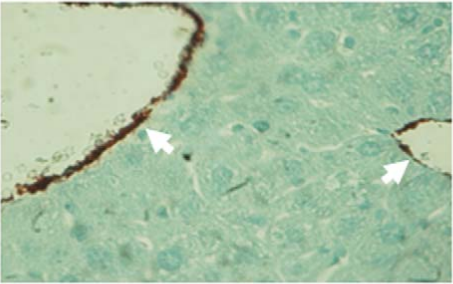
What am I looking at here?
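Liver parenchyma with two larger blood vessels. Broad empty lumina are lined by a continuous, dark brown-stained endothelial layer along their edges. Surrounding hepatocytes are polygonal with pale blue-green cytoplasm and round nuclei, arranged in cords. The narrow spaces between the cords are mostly unstained, with only scattered faint brown specks. No necrosis or inflammatory infiltrate is apparent.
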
